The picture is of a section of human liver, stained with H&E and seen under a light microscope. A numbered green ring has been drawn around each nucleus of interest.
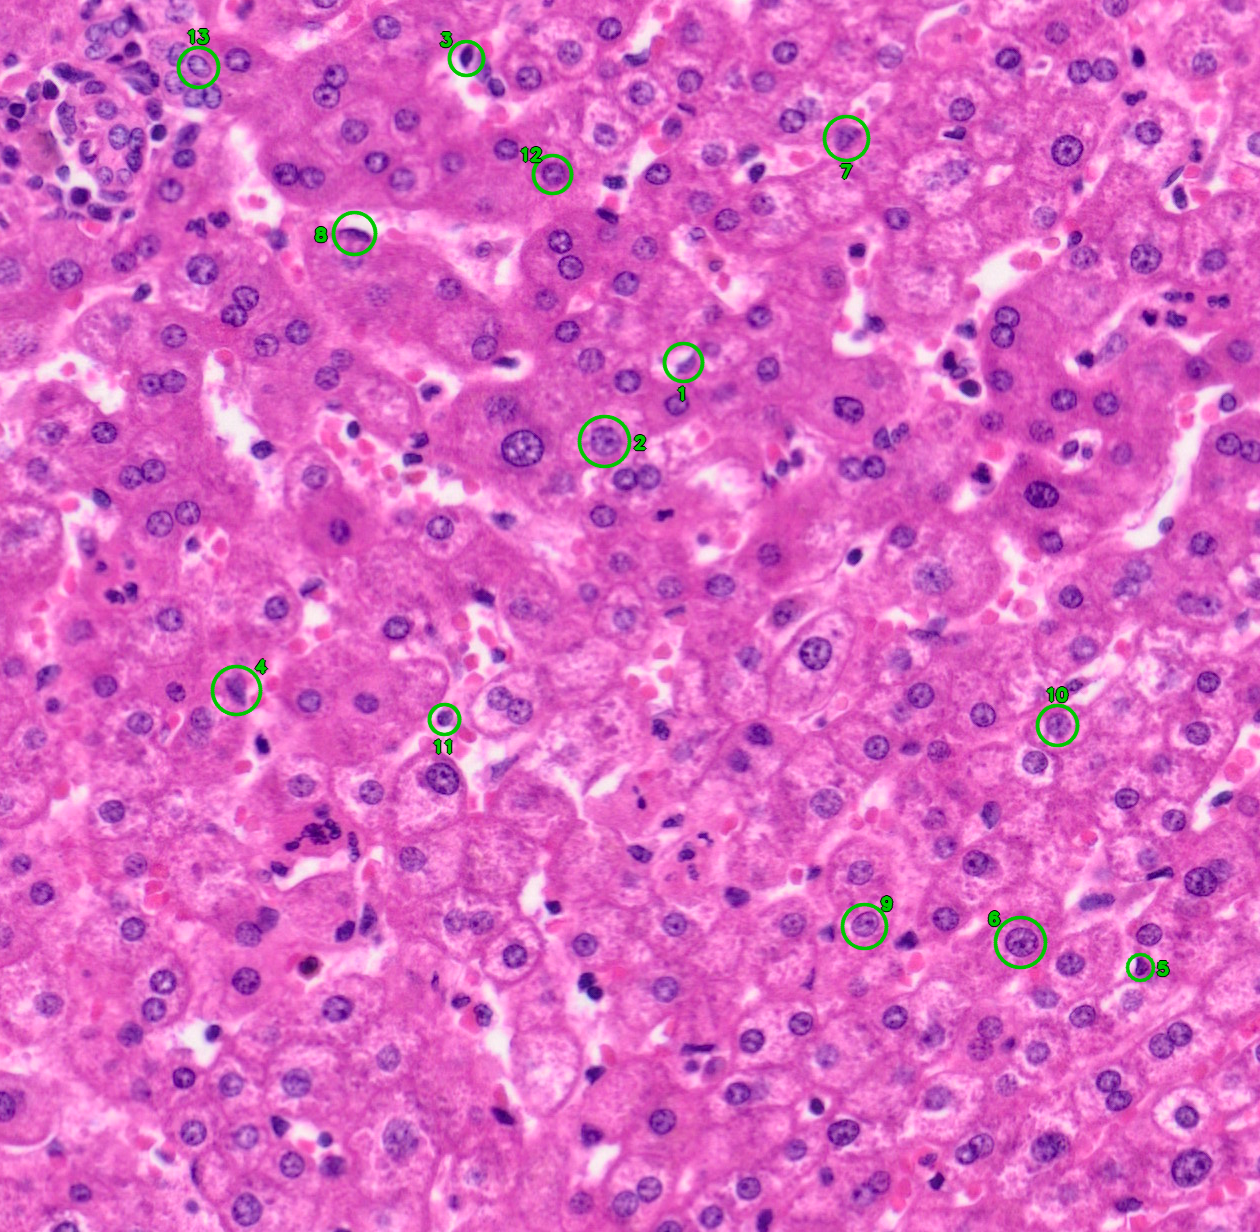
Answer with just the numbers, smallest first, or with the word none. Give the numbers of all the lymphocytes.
3, 11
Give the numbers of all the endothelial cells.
1, 4, 5, 7, 8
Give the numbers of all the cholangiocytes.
13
